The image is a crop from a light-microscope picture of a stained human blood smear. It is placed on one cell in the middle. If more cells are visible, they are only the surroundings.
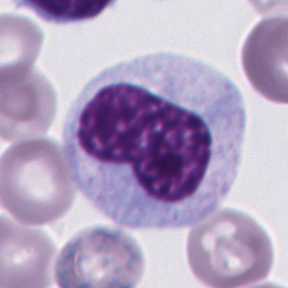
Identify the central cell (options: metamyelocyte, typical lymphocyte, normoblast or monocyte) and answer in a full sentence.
By type, the central cell of the crop is a metamyelocyte.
